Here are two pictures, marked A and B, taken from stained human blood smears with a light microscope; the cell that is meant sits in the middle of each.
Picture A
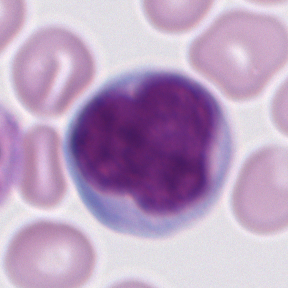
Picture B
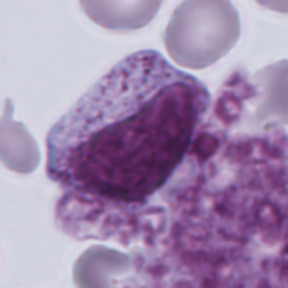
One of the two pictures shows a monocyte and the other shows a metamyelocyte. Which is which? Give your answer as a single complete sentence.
It is picture A that shows a monocyte, and picture B that shows a metamyelocyte.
